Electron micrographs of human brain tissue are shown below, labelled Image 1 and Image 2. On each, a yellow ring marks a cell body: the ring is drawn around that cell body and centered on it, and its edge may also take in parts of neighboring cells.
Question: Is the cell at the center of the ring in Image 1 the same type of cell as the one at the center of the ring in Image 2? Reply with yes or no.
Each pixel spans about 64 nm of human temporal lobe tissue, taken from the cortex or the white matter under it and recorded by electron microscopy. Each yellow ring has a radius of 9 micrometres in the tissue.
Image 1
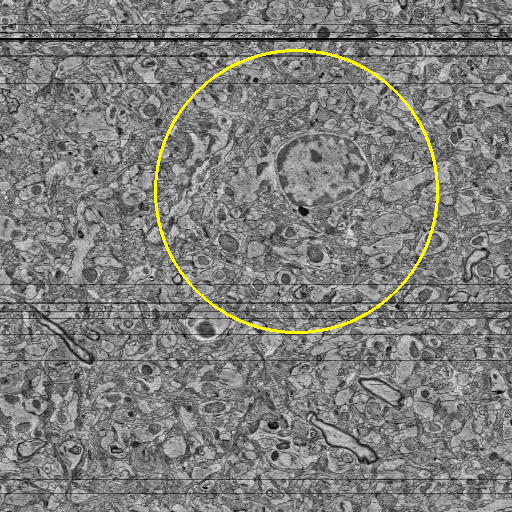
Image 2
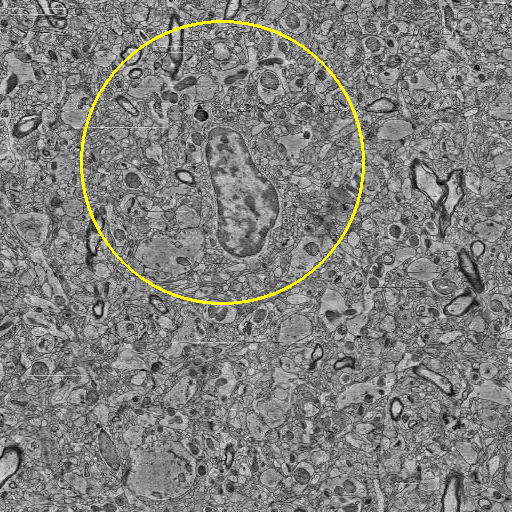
yes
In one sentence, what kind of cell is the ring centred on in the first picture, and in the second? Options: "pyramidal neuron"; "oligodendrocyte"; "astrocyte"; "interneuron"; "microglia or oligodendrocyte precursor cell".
Both pictures show a microglial cell or oligodendrocyte precursor cell at the centre of the ring.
